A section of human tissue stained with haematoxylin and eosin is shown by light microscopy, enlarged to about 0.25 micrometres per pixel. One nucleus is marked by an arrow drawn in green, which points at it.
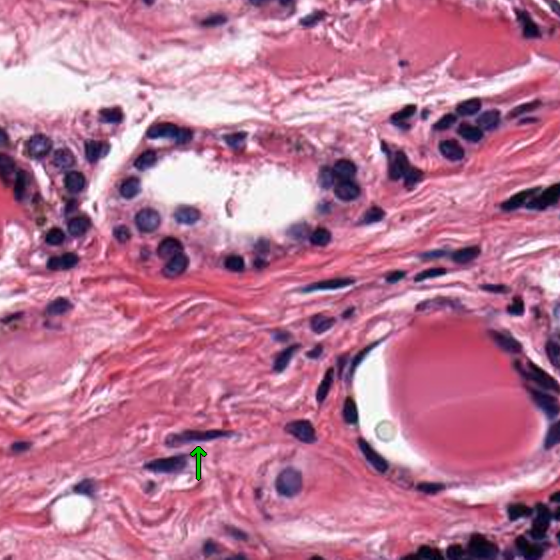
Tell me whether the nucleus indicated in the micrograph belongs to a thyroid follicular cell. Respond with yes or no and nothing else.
no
